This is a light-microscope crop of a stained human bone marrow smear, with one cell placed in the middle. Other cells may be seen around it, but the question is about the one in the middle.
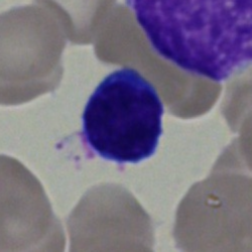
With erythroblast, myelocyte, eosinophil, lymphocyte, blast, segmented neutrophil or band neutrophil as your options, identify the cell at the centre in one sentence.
The cell at the centre of the field is a lymphocyte.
